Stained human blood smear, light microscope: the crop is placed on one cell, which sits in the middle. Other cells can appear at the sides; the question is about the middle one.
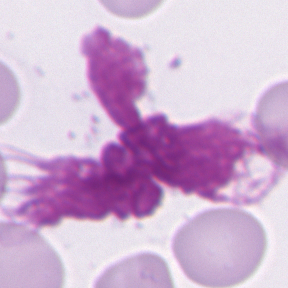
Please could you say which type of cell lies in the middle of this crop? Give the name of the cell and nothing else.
smudge cell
